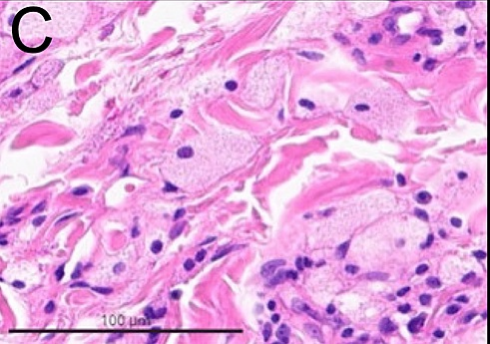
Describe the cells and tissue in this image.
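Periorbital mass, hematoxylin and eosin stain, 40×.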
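This is dermis at the edge of a zone of damaged collagen, with foamy macrophages lying among the fibres. The collagen bundles are bright pink, wavy and separated by clefts. Between them sit large cells with broad, pale, finely bubbly cytoplasm that looks speckled rather than solid pink; each has a small, round to oval dark nucleus, often off to one side. Smaller cells with dark, compact nuclei cluster at the lower right, where the tissue is more cellular. Notice how the foamy cells fill the spaces between collagen bundles rather than forming a sheet.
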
